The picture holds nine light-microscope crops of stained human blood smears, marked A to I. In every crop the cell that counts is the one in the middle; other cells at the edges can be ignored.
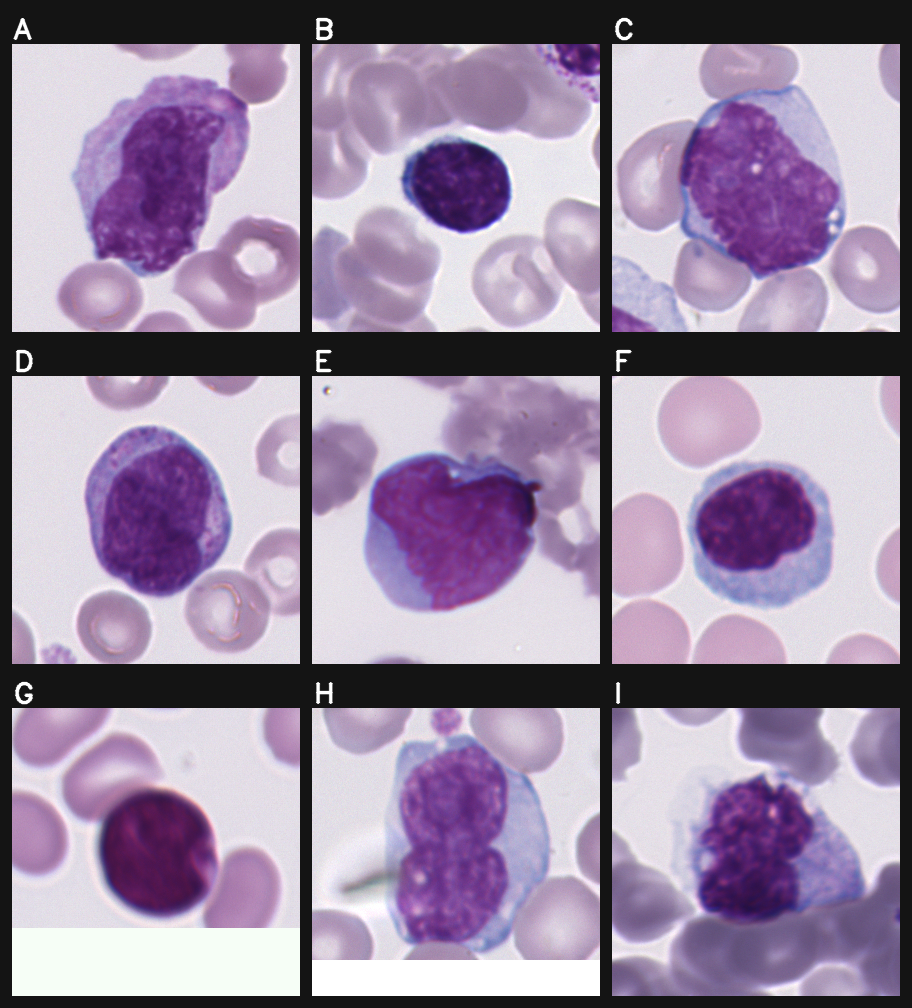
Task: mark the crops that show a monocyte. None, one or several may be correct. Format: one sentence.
Crop I is the exclusive holder of a monocyte in this set.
